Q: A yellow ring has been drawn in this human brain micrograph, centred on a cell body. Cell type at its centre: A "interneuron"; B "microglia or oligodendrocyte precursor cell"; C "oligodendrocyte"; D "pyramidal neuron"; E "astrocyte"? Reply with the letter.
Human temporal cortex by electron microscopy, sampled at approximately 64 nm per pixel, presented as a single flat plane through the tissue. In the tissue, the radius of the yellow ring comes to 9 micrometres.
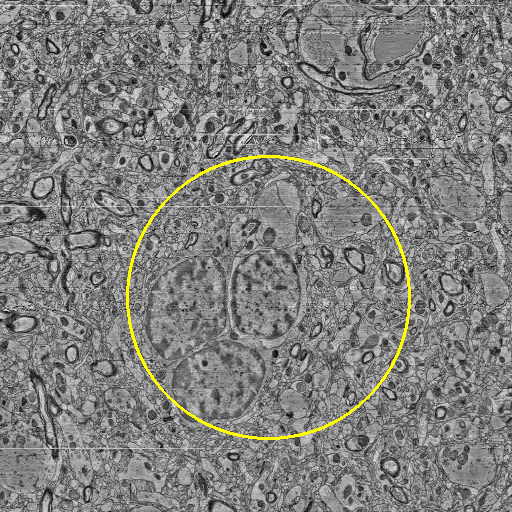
B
